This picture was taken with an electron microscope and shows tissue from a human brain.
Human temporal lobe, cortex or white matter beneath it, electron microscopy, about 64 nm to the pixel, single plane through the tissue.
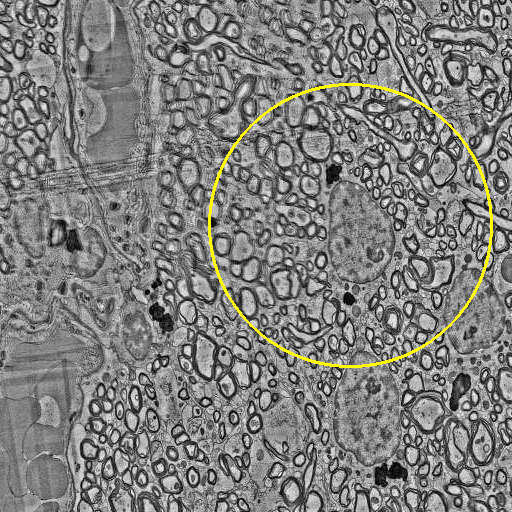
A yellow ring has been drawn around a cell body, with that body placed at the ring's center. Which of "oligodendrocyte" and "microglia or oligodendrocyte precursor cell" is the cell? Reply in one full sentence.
In this picture, an oligodendrocyte is the cell at the center of the yellow ring.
